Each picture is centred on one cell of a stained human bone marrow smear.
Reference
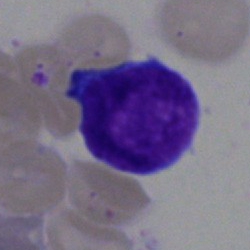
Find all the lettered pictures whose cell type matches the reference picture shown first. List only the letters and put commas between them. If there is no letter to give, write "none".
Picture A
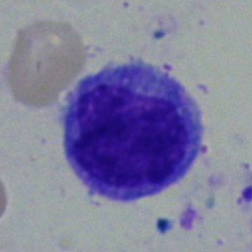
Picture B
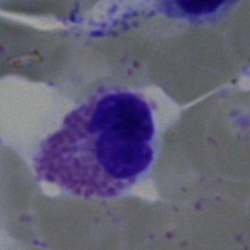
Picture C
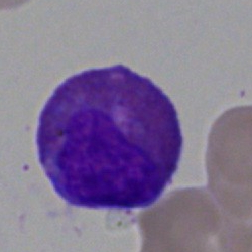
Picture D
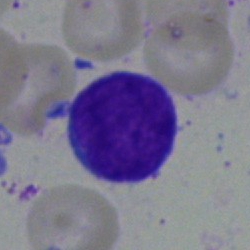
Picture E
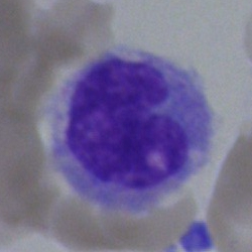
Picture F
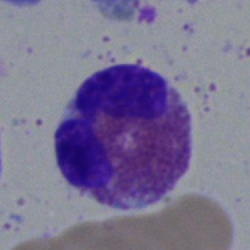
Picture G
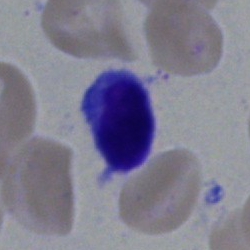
D, G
